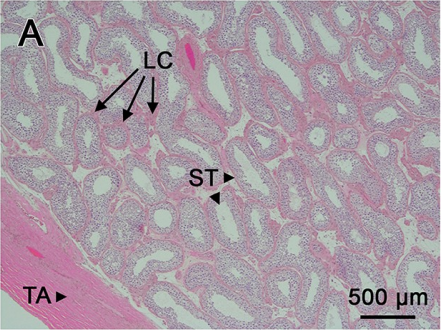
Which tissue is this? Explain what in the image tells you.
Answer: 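Many closely packed round and elongated tubules cut in section, each with a cellular wall and a central lumen. A thick band of dense pink fibrous tissue runs along the lower left edge. On this evidence: testes.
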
